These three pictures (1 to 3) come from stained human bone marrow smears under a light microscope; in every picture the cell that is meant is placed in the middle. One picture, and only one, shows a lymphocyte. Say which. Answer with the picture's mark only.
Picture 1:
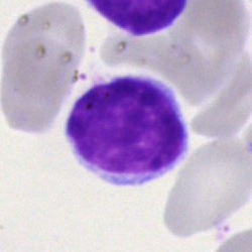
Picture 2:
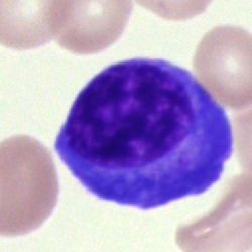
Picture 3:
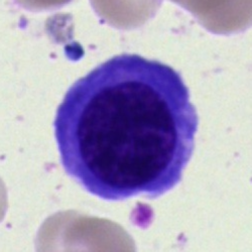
1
